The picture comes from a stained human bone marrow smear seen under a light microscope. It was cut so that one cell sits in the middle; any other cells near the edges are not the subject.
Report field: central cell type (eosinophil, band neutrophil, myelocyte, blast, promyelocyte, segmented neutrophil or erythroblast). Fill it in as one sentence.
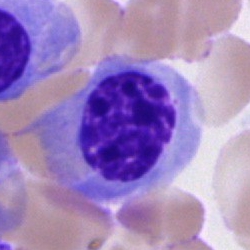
The cell under consideration, at the middle of the crop, is an erythroblast.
